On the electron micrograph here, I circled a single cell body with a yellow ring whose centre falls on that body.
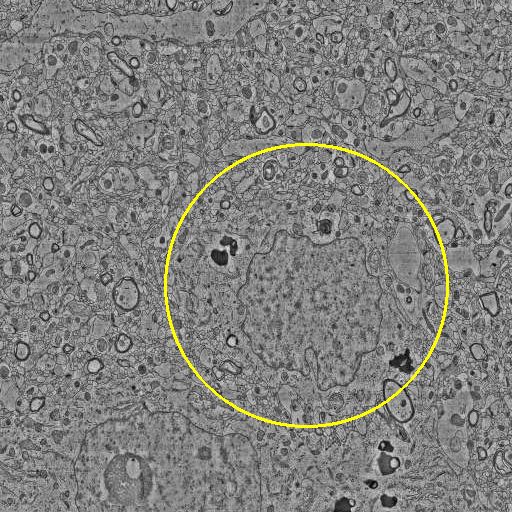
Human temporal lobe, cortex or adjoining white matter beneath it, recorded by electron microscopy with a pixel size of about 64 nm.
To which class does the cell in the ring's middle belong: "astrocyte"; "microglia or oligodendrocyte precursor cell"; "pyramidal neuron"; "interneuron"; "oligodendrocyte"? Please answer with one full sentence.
In this picture, the cell body circled at the ring's centre belongs to a pyramidal neuron.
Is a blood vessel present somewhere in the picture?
No, none is visible.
